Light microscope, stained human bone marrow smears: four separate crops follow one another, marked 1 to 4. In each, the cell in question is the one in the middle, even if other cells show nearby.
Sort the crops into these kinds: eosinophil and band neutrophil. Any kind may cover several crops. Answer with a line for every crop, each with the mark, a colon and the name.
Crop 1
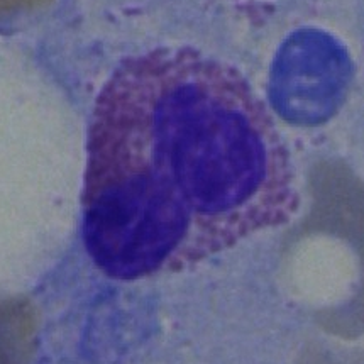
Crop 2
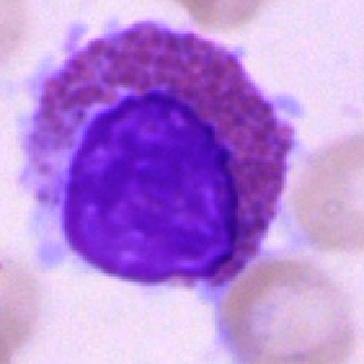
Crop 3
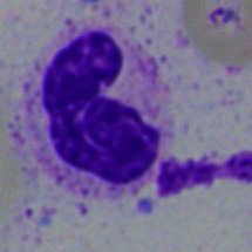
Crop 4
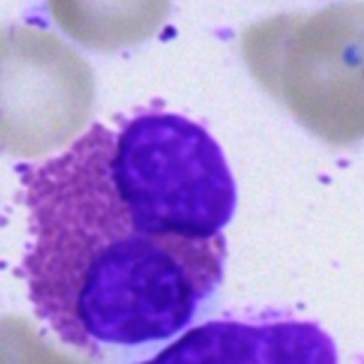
1: eosinophil
2: eosinophil
3: band neutrophil
4: eosinophil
